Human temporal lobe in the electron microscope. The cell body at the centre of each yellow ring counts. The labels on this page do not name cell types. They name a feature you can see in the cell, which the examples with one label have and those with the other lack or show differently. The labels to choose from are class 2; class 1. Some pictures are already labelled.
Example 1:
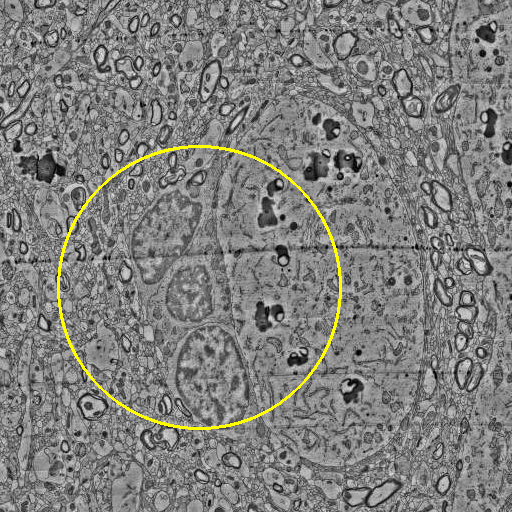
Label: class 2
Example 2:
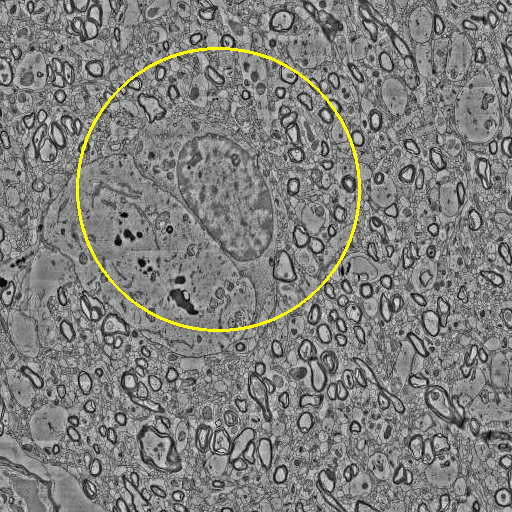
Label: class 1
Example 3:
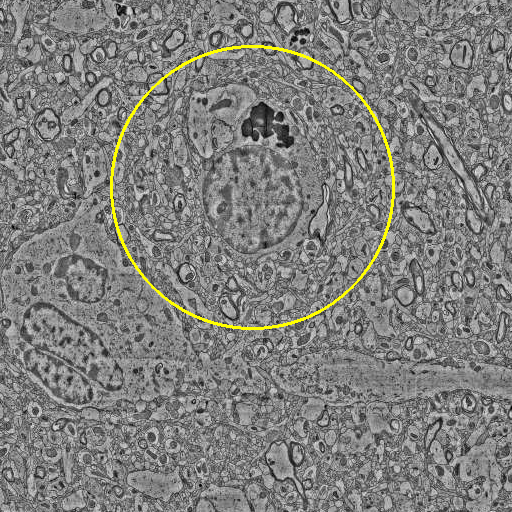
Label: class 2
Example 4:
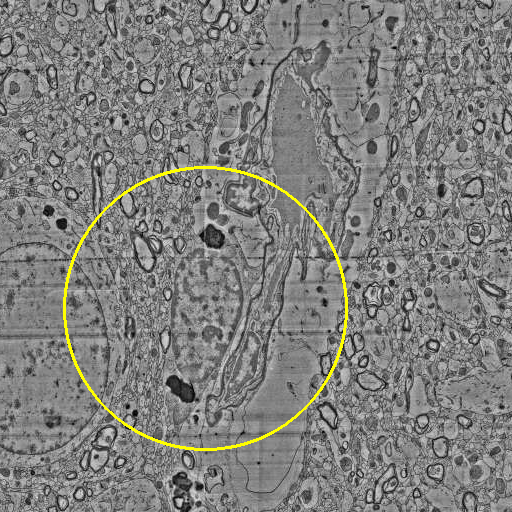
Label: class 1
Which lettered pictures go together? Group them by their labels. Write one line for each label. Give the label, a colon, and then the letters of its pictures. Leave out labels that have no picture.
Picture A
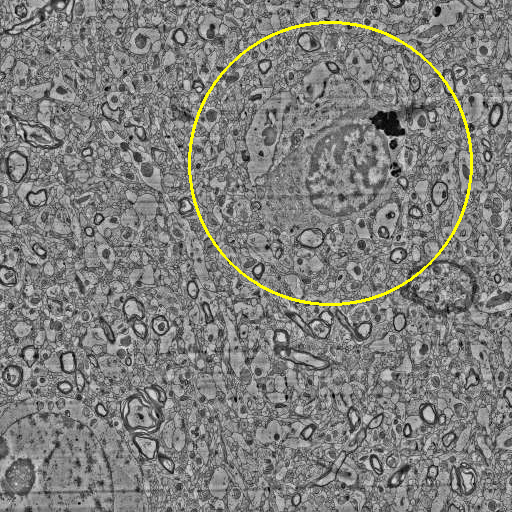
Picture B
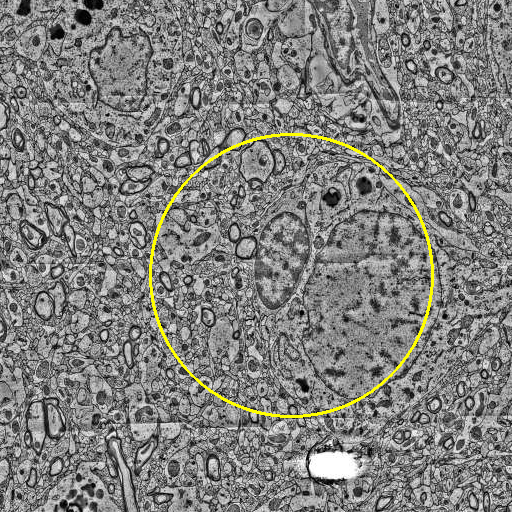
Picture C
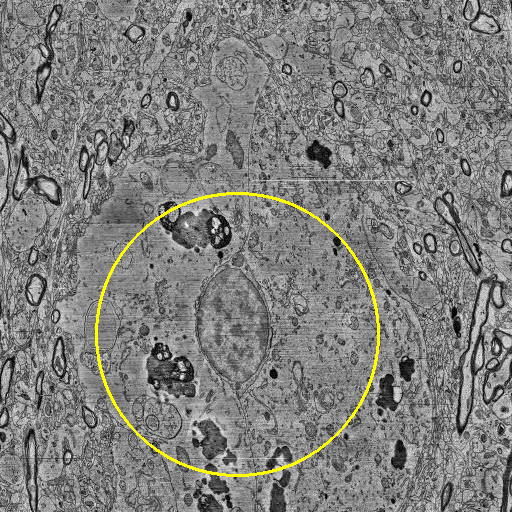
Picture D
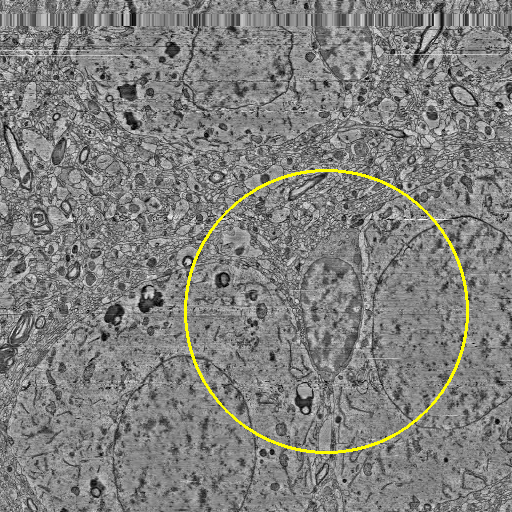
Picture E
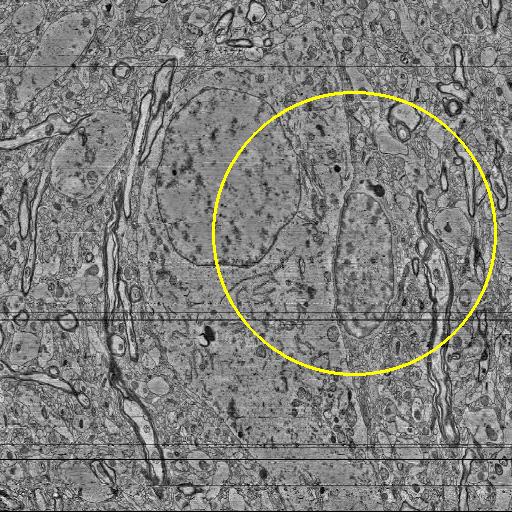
class 2: A
class 1: B, C, D, E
